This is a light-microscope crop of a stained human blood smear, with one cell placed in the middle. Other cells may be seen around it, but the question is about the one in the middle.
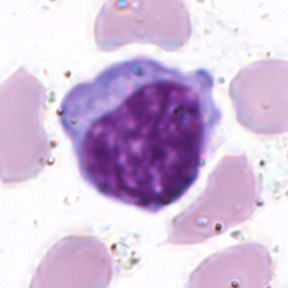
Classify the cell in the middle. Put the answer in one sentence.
On this slide crop, the central cell is a plasma cell.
